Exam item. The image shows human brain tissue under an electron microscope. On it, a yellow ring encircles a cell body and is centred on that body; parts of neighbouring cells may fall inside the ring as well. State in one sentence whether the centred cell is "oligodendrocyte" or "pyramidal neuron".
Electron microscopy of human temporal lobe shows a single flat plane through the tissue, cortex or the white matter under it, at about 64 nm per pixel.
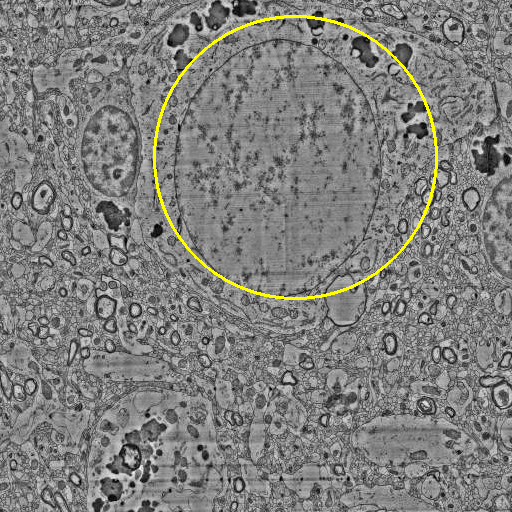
The cell body centred in the ring is a pyramidal neuron.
